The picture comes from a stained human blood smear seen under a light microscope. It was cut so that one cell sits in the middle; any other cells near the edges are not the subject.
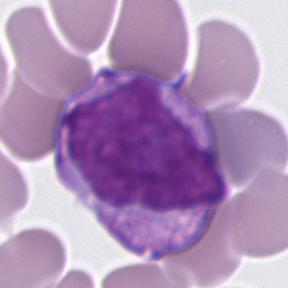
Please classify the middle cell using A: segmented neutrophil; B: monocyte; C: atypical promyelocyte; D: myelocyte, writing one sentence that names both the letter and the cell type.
Option C is accurate; the centrally placed cell is an atypical promyelocyte.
